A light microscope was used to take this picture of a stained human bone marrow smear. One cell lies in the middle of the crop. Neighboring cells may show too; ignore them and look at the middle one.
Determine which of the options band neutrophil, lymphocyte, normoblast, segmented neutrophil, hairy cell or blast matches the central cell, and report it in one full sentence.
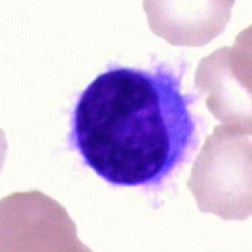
The cell featured at the centre of this crop is a hairy cell.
